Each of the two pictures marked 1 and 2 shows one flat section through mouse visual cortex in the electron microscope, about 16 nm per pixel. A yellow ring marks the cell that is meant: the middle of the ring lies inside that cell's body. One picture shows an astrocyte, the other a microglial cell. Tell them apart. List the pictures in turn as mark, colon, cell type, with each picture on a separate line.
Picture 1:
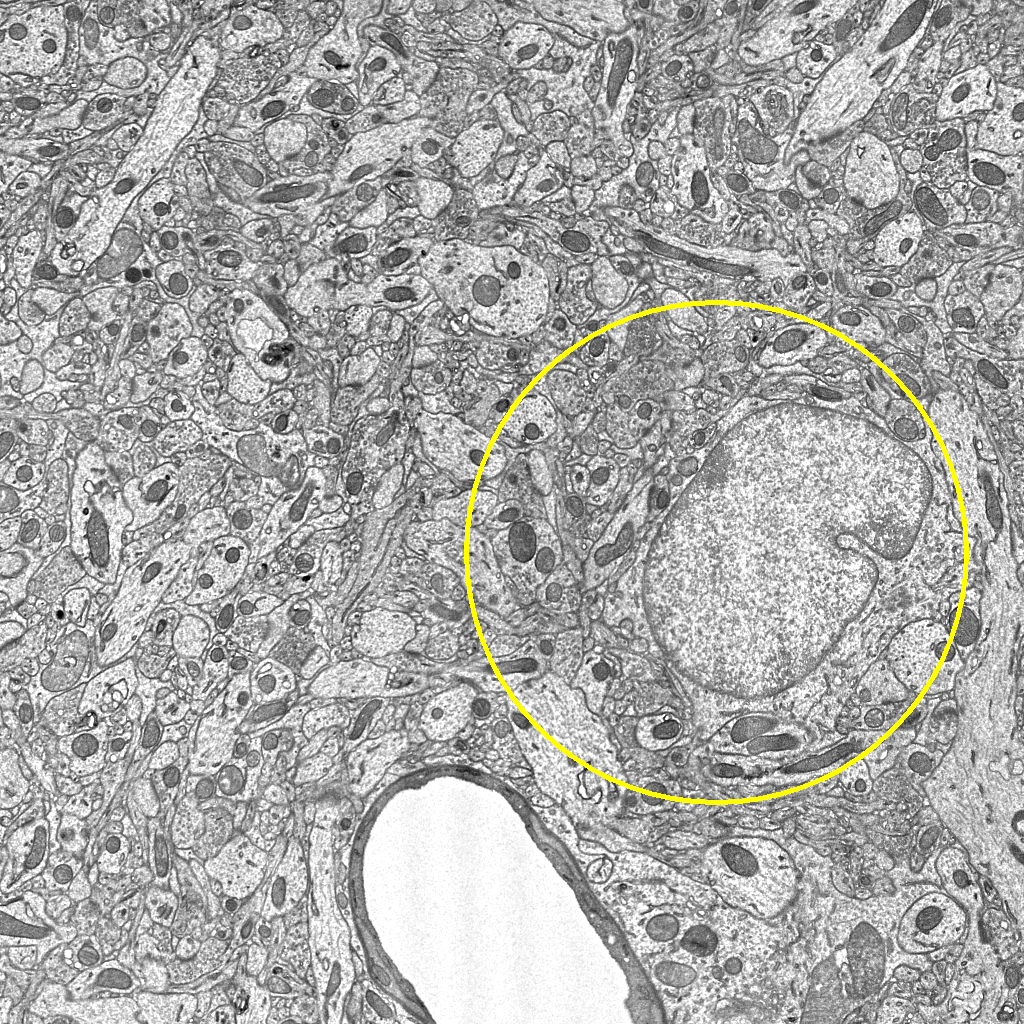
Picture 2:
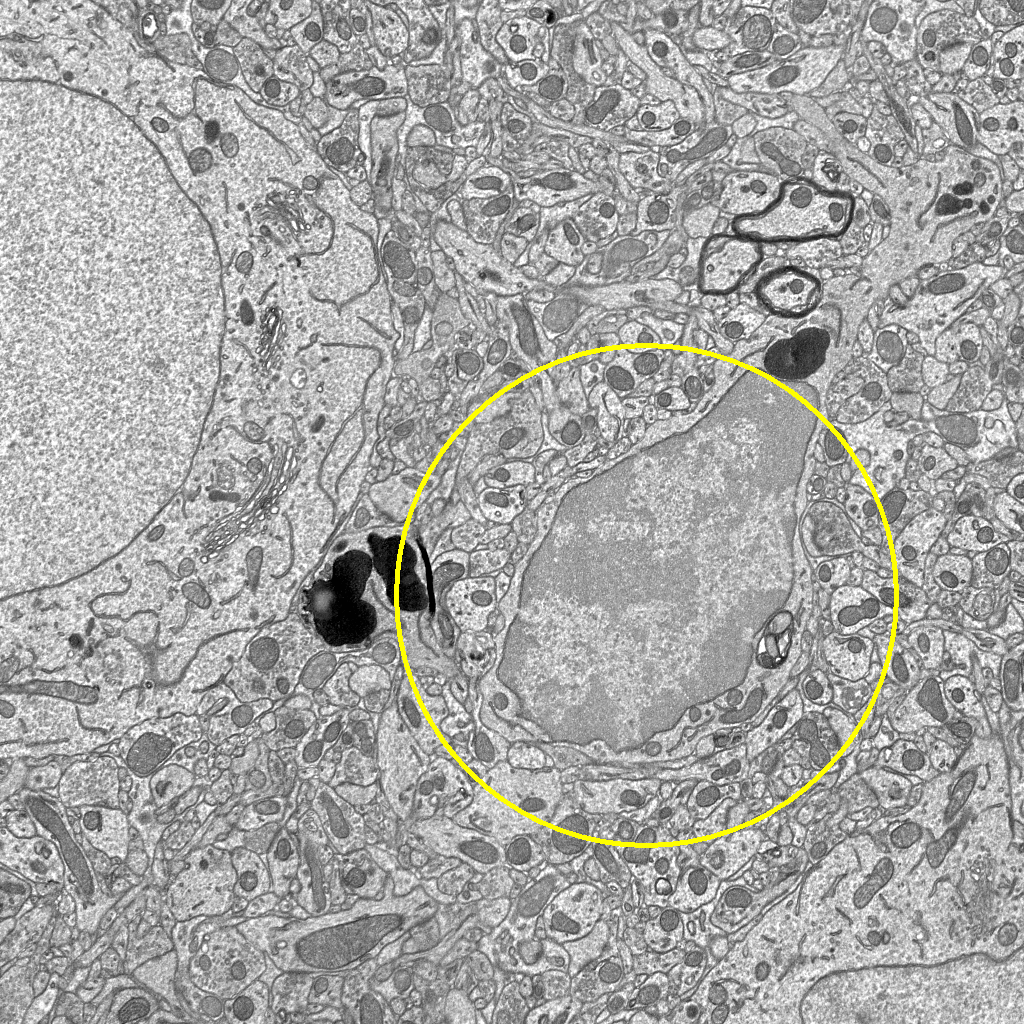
1: astrocyte
2: microglial cell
